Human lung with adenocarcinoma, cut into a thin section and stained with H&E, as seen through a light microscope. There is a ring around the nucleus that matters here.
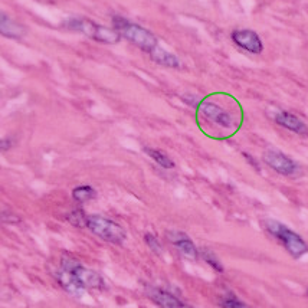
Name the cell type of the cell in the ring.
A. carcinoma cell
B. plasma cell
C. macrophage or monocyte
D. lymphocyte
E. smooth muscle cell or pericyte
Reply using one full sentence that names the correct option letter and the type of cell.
Option E wins here: the cell in the ring is a smooth muscle cell or pericyte.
